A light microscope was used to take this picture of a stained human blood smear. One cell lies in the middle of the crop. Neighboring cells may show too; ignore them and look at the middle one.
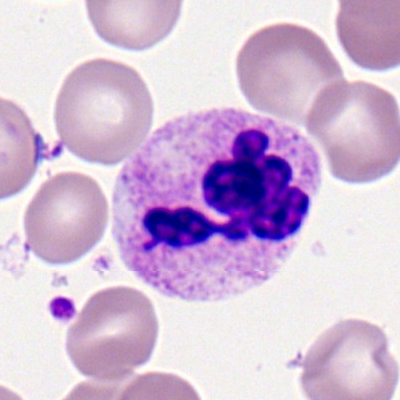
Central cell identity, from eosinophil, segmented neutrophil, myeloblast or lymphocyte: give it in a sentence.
The cell centered in this field of view is a segmented neutrophil.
